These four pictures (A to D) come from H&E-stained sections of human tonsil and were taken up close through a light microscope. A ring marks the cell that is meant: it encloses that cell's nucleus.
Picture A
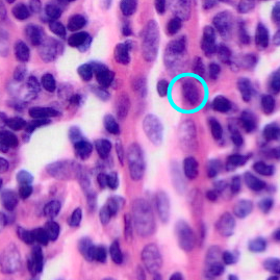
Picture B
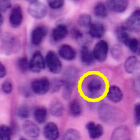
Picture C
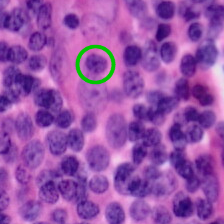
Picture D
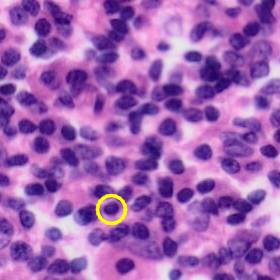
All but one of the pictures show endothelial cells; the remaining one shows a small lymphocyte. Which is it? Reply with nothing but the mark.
D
